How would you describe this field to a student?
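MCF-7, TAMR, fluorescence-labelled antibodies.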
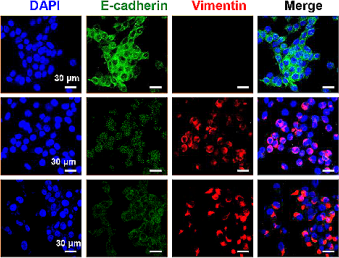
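In the top row the cells lie in tight clusters, with green outlining the borders between neighbouring cells and no red. In the two lower rows the green is faint and the cells are more loosely spaced and rounded, with red filling the cytoplasm around the nuclei.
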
